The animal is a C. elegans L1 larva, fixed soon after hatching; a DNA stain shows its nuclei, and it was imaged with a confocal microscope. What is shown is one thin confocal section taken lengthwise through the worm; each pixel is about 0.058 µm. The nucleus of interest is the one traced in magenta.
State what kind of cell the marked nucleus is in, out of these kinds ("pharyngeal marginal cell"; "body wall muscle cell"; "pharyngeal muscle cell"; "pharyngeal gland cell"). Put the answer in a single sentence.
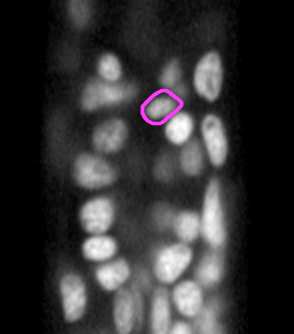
It belongs to a pharyngeal muscle cell.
